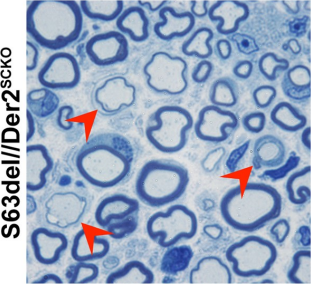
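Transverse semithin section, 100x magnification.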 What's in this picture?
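This cross section of peripheral nerve shows myelinated axons of varied size, many with folded, irregular, wavy myelin rings in dark blue. Several axons are marked that have no myelin or only a thin sheath, appearing as pale round profiles. Between the fibers the space is wider than usual and holds pale cell profiles and scattered dark-stained nuclei and cells.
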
